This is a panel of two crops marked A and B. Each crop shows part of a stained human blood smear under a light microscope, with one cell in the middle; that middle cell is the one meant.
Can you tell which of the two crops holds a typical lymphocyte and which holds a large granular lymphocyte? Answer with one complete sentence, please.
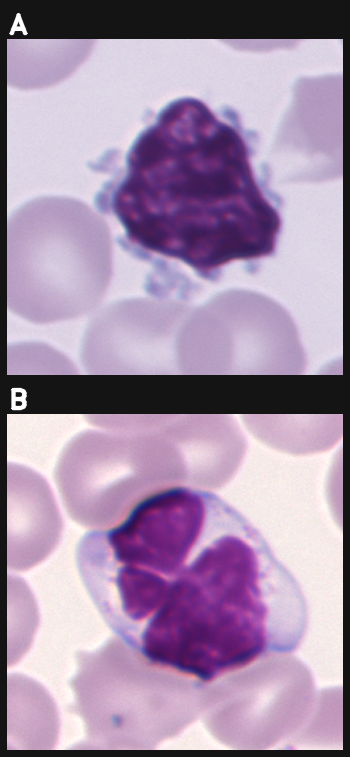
The cell in crop A is a typical lymphocyte; the cell in crop B is a large granular lymphocyte.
